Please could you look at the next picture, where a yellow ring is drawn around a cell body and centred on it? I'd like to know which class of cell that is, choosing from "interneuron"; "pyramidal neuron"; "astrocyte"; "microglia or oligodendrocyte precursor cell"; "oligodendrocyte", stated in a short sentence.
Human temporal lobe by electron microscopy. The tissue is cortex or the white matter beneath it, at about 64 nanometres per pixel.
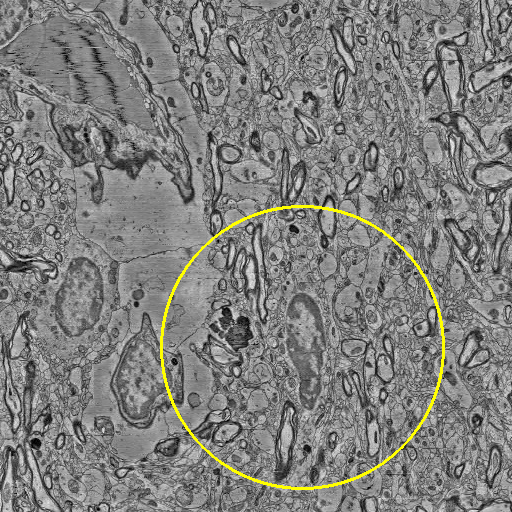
The ring's centre lies on a microglial cell or oligodendrocyte precursor cell.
